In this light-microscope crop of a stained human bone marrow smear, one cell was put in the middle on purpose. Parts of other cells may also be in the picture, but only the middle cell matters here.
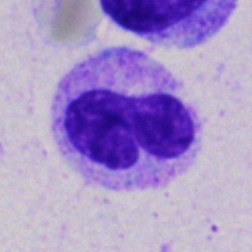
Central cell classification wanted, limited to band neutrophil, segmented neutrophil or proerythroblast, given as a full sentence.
Positioned in the middle of the crop is a band neutrophil.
